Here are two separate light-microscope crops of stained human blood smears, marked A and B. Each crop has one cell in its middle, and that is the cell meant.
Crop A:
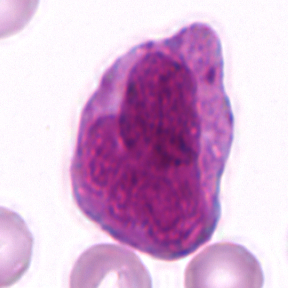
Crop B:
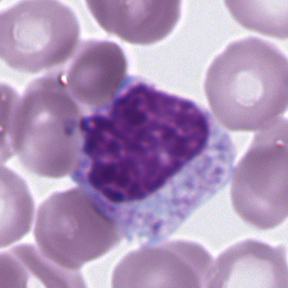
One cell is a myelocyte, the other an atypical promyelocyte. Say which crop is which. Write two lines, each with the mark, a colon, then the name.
A: atypical promyelocyte
B: myelocyte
